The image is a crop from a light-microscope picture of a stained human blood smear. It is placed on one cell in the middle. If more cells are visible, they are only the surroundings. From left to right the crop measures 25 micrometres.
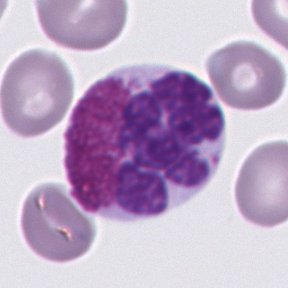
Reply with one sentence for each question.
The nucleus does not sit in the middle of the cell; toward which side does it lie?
It is shifted toward the upper right of the cell.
